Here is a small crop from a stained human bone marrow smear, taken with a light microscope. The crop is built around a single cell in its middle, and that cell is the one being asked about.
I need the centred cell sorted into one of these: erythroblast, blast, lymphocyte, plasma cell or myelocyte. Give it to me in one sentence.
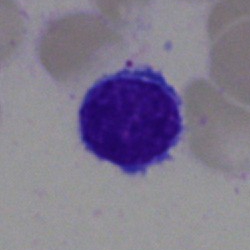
The cell the crop is centered on is a lymphocyte.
